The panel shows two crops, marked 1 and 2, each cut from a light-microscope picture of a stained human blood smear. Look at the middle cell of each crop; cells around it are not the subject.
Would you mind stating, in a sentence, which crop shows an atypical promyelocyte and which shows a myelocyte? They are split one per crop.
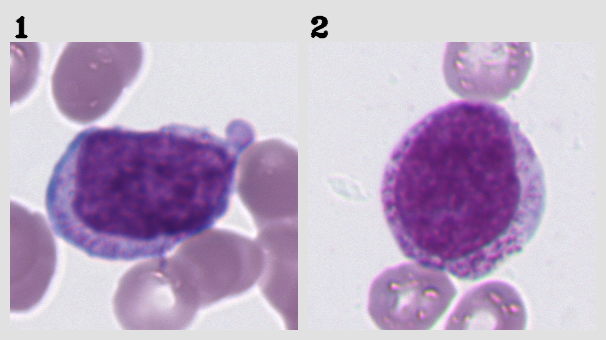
The cell of crop 1 is an atypical promyelocyte; that of crop 2 is a myelocyte.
